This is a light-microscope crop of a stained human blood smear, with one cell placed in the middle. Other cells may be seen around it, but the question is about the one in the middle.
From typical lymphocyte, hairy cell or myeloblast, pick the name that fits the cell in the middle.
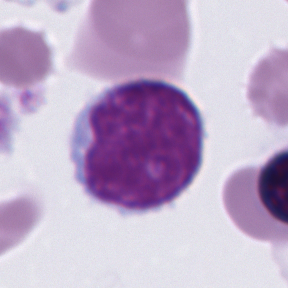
typical lymphocyte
